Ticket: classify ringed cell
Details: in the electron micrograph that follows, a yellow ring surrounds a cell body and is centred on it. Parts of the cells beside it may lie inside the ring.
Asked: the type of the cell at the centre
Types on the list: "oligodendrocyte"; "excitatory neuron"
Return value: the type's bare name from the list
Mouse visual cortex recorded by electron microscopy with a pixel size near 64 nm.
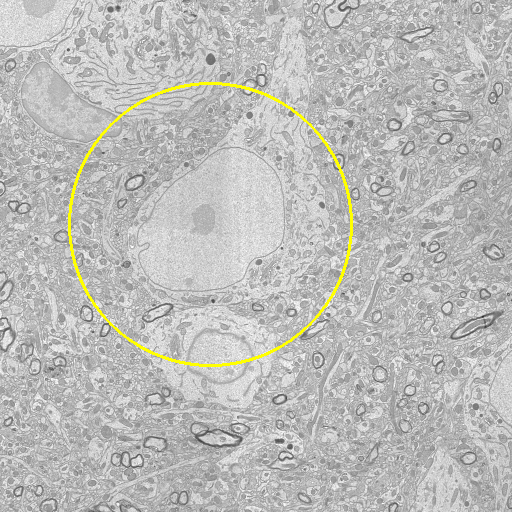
excitatory neuron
